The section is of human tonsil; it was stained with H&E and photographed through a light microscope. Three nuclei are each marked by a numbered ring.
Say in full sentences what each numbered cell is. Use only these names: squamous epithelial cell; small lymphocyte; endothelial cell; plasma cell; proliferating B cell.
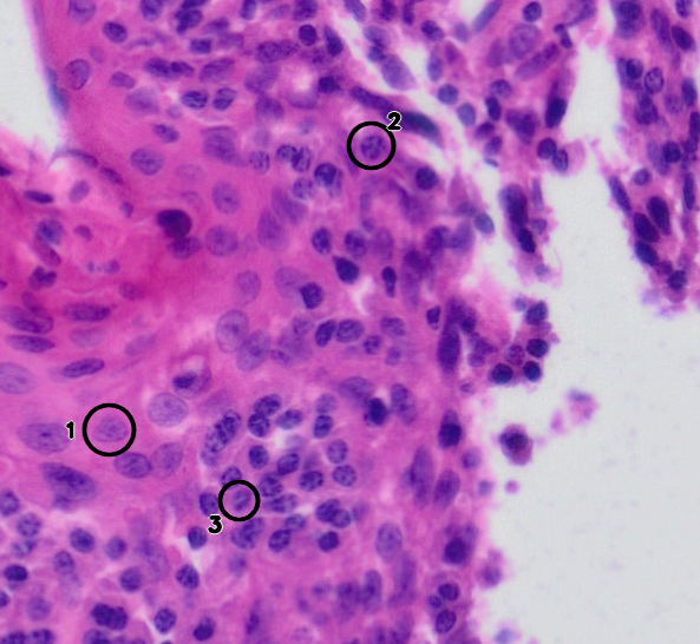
Cell 1 is a squamous epithelial cell. Cells 2 and 3 are plasma cells.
